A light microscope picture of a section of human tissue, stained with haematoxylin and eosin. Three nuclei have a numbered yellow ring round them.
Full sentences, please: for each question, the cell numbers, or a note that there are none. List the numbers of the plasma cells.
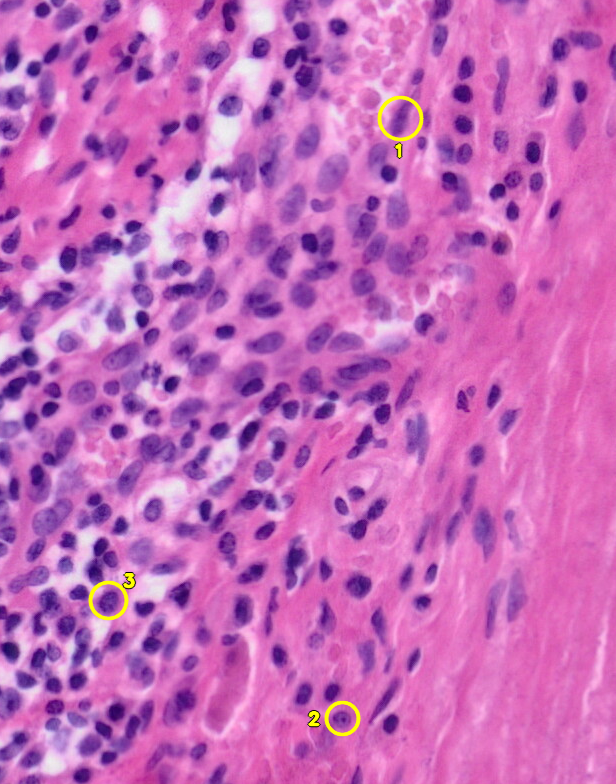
Only the cell numbered 3 qualifies as a plasma cell among the marked cells.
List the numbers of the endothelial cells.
With the exception of cell 1, no marked cell is an endothelial cell.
